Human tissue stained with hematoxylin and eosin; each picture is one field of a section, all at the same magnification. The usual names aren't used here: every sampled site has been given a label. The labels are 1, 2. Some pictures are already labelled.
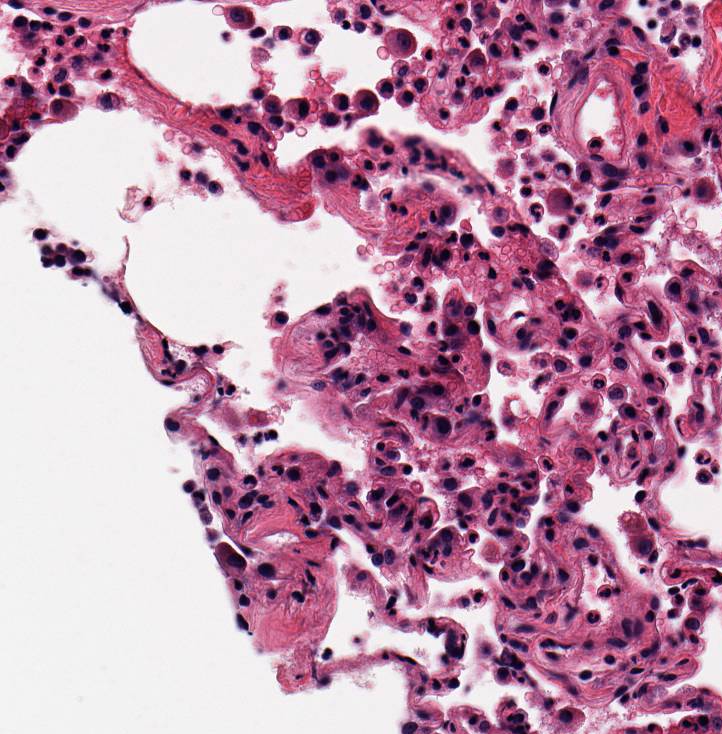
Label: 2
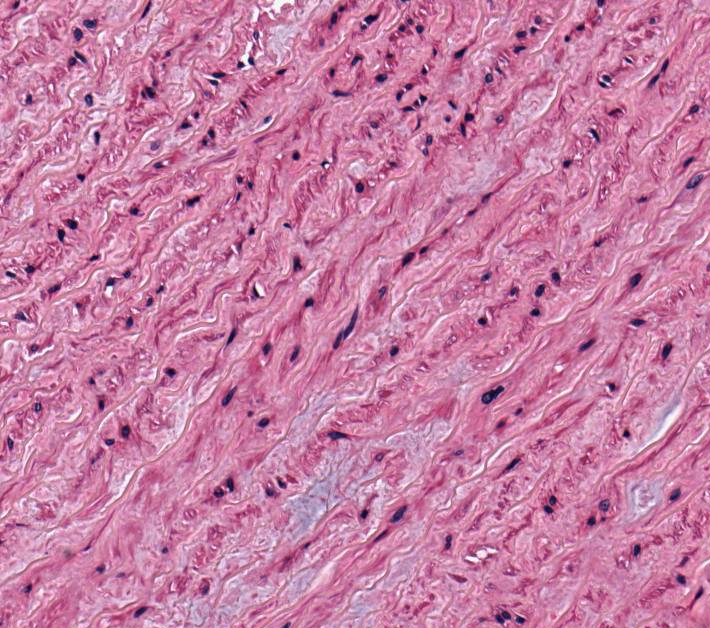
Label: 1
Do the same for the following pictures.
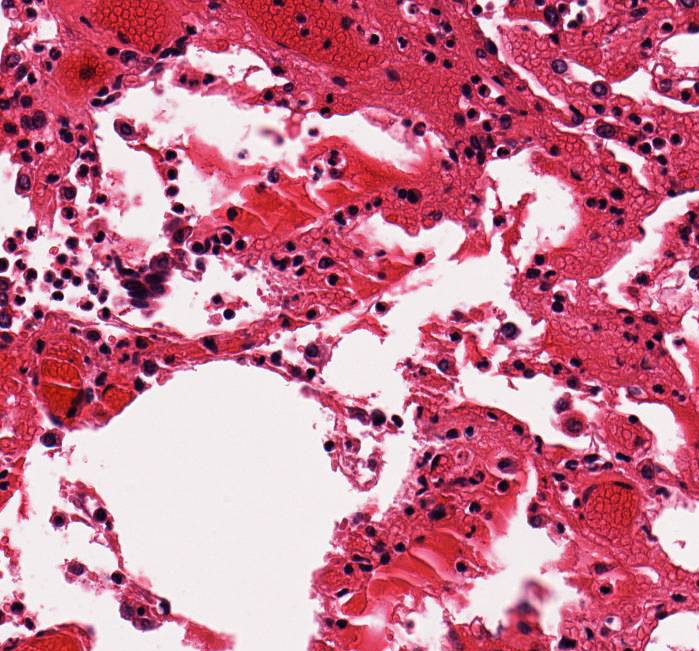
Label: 2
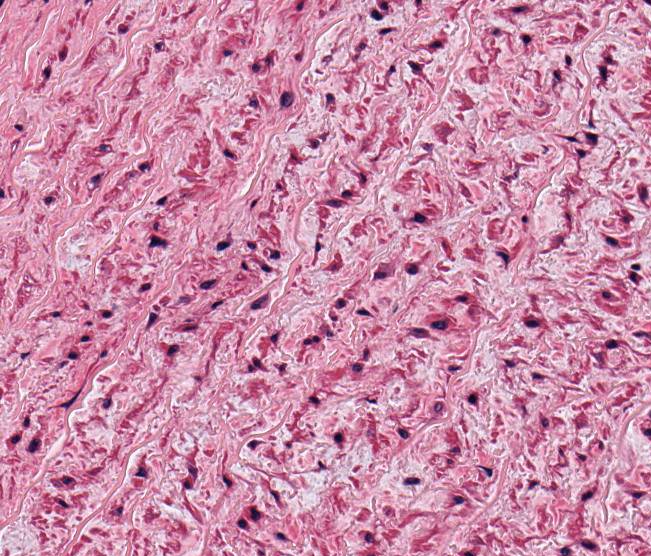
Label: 1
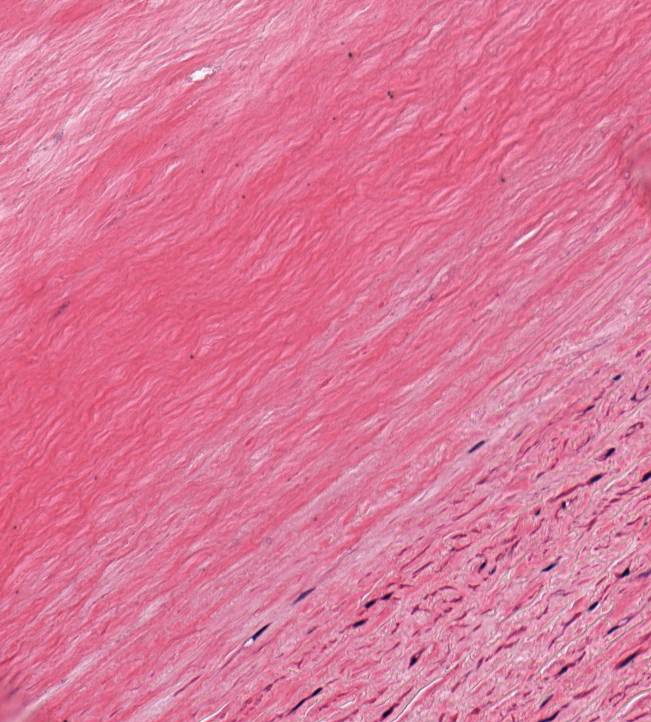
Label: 1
